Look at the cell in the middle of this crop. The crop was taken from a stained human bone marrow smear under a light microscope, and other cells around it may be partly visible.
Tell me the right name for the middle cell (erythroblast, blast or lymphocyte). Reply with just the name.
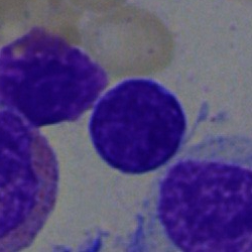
lymphocyte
